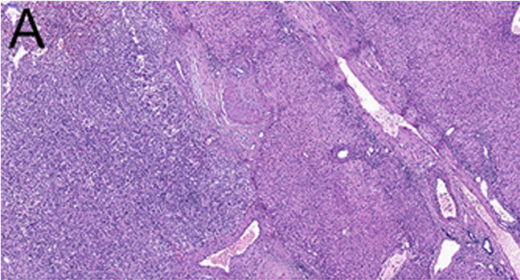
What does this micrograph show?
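This low-power view shows a densely cellular tumor arranged in broad sheets, divided by pink fibrous bands. The tumor cells form solid sheets around the vessels, with a paler, more eosinophilic area in the middle and more basophilic, crowded areas at the left.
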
